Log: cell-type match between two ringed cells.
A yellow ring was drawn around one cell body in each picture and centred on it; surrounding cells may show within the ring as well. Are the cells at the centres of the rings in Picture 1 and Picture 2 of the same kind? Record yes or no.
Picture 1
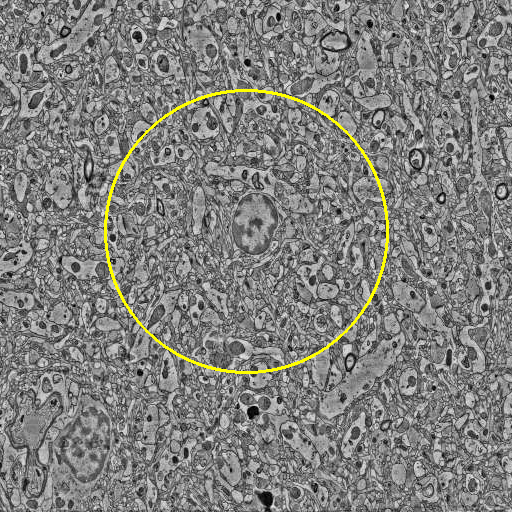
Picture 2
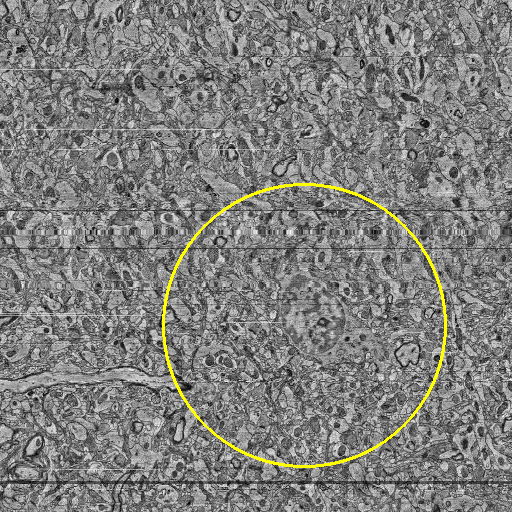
no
